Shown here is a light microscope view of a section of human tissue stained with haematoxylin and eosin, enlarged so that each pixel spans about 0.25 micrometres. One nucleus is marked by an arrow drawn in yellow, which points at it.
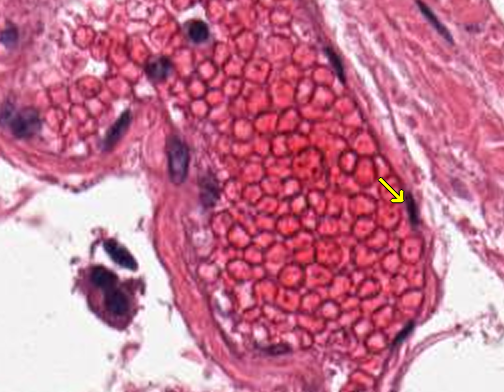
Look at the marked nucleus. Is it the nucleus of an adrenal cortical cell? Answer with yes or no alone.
no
